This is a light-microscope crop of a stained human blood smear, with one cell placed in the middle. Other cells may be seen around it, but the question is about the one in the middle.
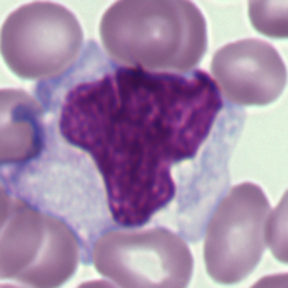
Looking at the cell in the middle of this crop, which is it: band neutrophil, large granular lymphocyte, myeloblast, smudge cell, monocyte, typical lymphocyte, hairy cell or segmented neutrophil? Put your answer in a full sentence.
Present in the middle of the crop is a monocyte.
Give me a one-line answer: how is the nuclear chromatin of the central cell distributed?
The nuclear chromatin is fine, showing no coarse aggregates.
